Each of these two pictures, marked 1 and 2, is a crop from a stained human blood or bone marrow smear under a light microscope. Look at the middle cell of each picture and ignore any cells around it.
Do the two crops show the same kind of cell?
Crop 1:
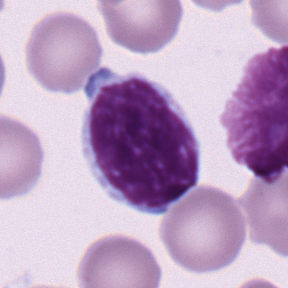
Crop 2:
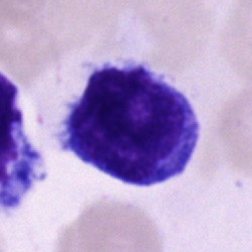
no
